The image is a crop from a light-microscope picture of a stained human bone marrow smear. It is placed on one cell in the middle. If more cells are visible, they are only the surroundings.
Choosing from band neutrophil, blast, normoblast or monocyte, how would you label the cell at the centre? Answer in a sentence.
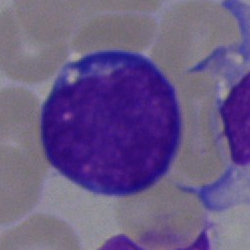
What the crop centres on is a blast.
